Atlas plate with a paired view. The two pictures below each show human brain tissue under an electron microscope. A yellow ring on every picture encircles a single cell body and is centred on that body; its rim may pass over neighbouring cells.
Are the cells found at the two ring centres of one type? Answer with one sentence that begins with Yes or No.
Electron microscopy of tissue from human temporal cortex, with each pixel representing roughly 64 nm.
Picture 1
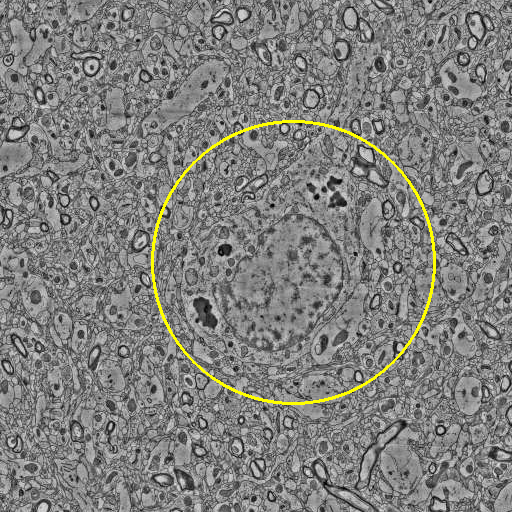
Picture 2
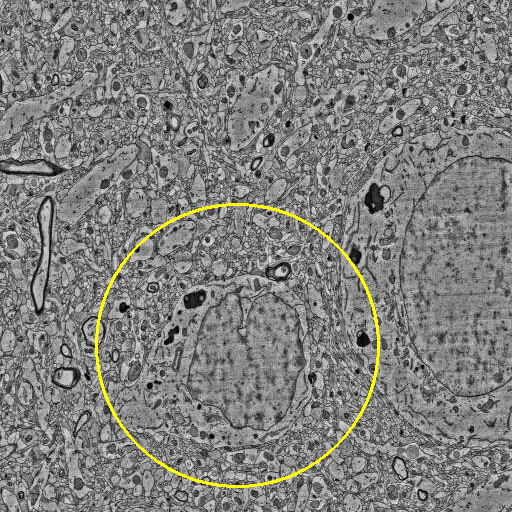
Yes, the two cells lying at the centres of the rings share a single type.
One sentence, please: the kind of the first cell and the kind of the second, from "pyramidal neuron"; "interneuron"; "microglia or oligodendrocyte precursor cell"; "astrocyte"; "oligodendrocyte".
In both pictures the ring is centred on an interneuron.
